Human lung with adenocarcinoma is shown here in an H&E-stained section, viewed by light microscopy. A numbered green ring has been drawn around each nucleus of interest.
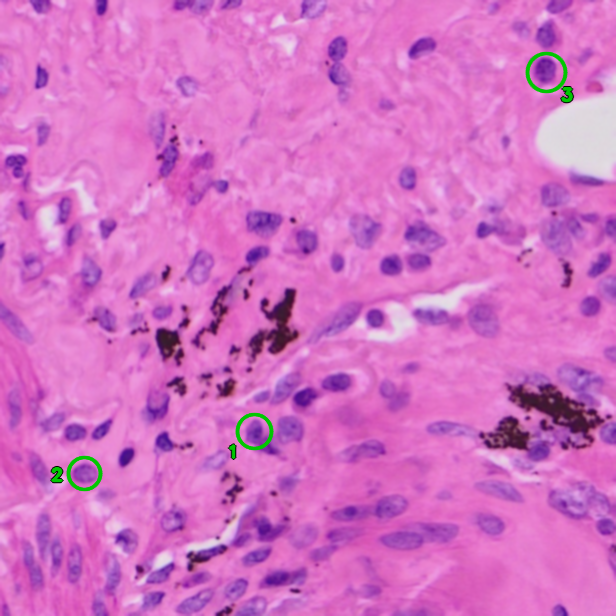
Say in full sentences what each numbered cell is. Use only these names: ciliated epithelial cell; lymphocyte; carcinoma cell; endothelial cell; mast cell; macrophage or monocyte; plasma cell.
Cell 1 is a lymphocyte. Cell 2 is a mast cell. Cell 3 is a plasma cell.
